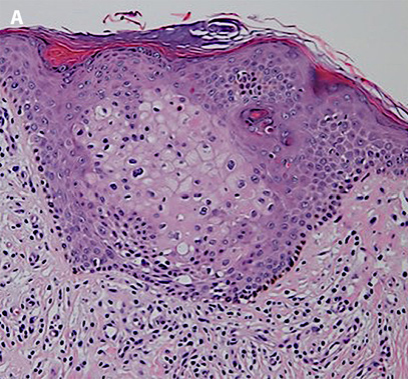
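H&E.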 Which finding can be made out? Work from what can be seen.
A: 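Enlarged tumor cells with pale cytoplasm. A well-circumscribed nest within the epidermis is filled with large cells. The cells in the centre of the nest have pale, clear-looking pink cytoplasm. These cells are clearly larger than the small dark cells at the nest's rim.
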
